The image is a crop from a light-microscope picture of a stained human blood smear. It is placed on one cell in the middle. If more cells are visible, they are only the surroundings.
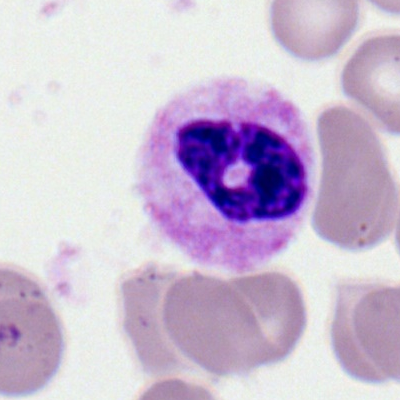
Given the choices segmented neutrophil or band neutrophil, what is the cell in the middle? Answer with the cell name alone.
segmented neutrophil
